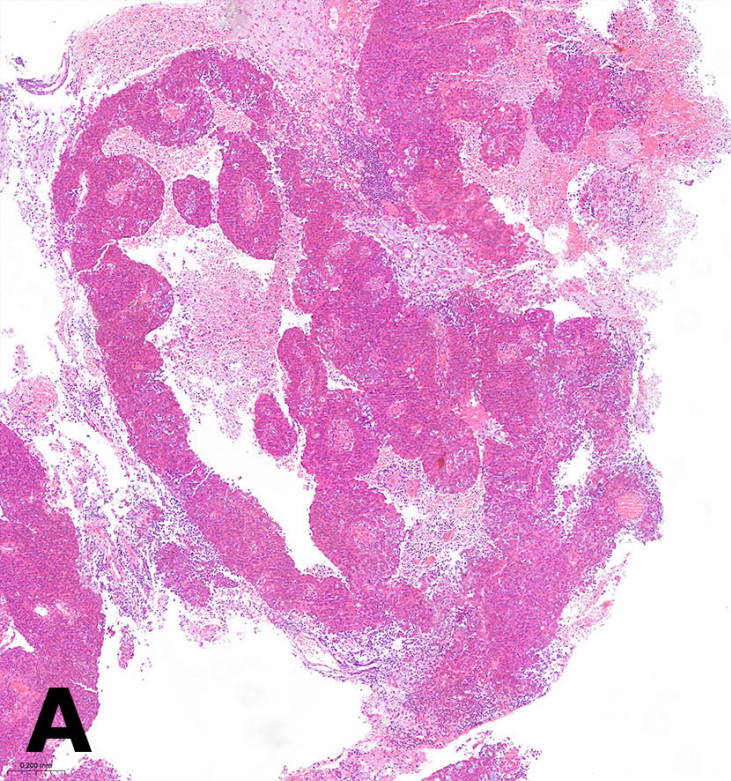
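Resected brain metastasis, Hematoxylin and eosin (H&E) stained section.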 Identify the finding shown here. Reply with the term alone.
Clustering of tumor cells around a central vessel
